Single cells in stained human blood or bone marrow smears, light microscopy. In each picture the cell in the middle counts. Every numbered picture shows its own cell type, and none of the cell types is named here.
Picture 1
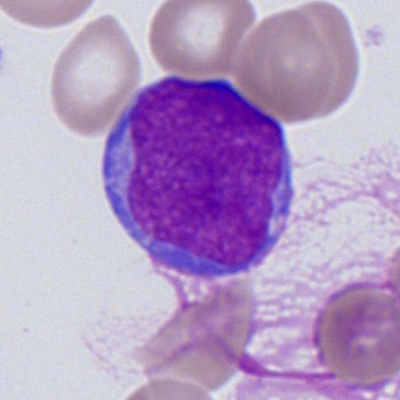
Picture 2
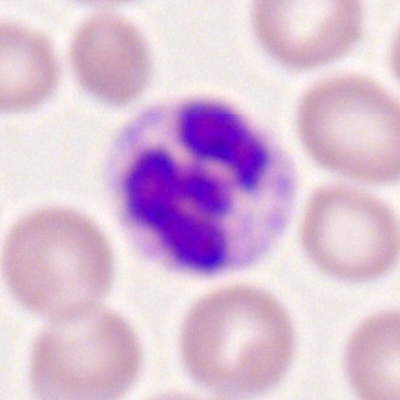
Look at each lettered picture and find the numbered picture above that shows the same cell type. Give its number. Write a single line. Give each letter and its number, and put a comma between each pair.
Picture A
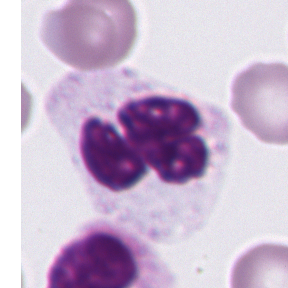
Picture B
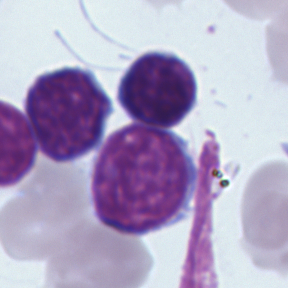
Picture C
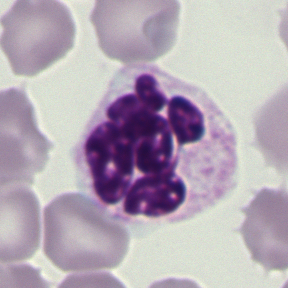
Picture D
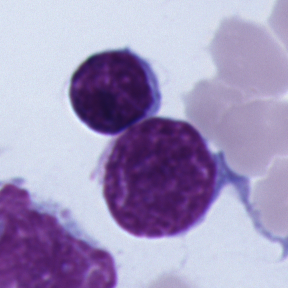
A 2, B 1, C 2, D 1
